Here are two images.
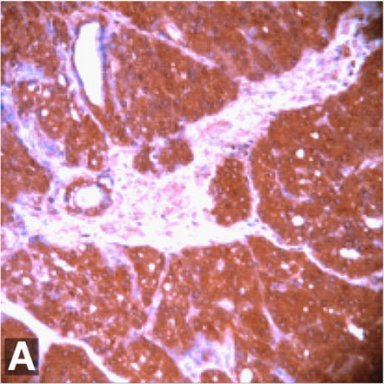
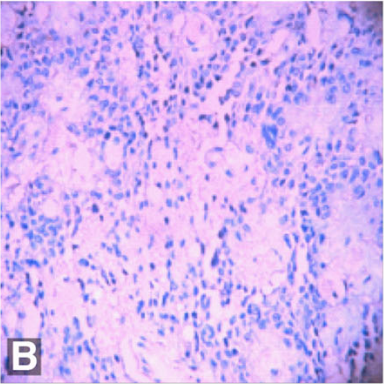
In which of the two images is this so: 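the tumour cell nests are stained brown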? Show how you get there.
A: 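The first image. Second image: cells show only blue nuclei and pale pink background, no brown. First image: tumour cell nests are strongly and diffusely brown, separated by pale stroma.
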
